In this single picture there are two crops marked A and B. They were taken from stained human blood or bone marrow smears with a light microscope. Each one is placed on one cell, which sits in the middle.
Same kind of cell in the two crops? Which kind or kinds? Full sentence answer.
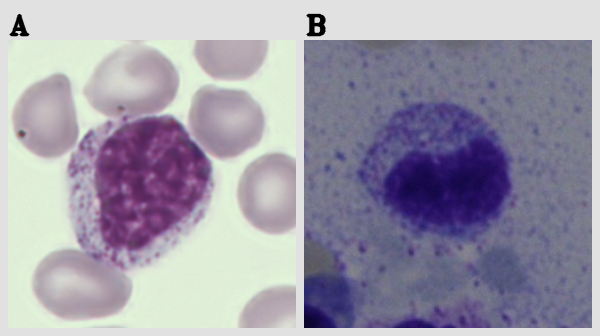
No, crop A offers a metamyelocyte, while crop B offers a myelocyte.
